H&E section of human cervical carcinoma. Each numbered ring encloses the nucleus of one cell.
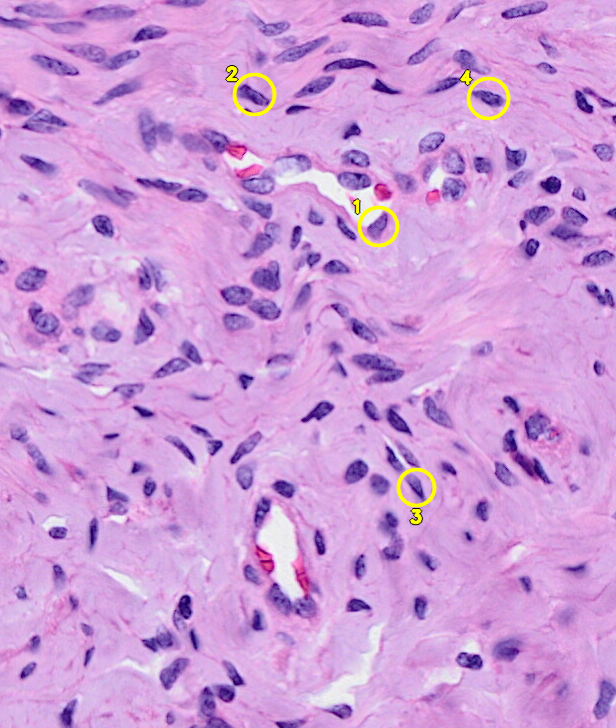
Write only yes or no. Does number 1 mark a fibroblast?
no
